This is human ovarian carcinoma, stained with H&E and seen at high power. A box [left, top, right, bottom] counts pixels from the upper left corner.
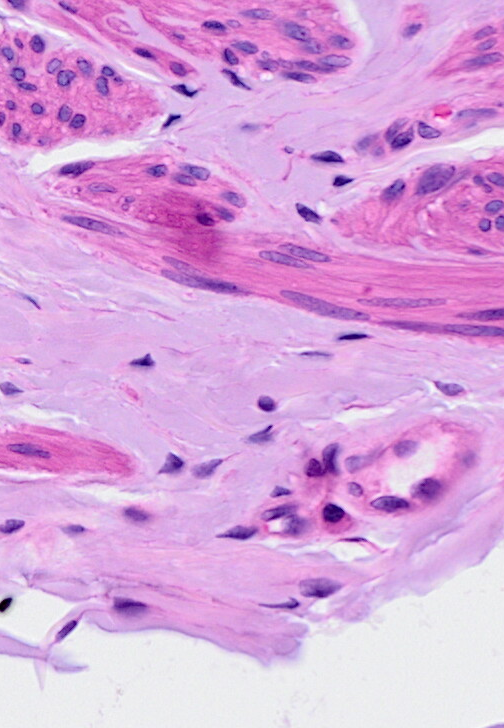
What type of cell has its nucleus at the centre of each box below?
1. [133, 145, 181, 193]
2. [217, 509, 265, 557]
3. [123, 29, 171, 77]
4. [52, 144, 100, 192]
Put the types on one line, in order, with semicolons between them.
smooth muscle cell; fibroblast; smooth muscle cell; smooth muscle cell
